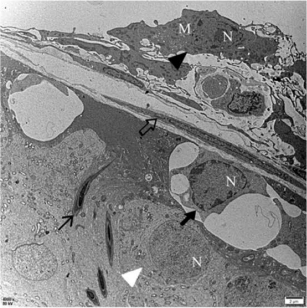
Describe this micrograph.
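Transmission electron micrograph of the seminiferous tubule wall with the interstitium above and the epithelium below. The wall is a diagonal band of thin, flattened, elongated cells and fibrous layers. Below it the epithelium holds pale cells with rounded nuclei and several large clear vacuoles. Slender, elongated, very electron-dense profiles of spermatid heads lie among the epithelial cells.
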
